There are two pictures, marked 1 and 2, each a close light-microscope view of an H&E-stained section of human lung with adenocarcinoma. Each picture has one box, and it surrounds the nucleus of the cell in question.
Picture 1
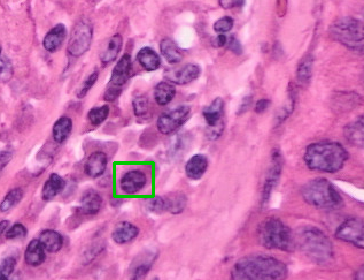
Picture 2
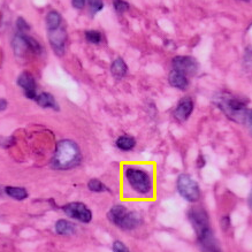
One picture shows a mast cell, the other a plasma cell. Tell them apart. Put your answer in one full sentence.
In picture 1 the cell is a plasma cell; in picture 2, a mast cell.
